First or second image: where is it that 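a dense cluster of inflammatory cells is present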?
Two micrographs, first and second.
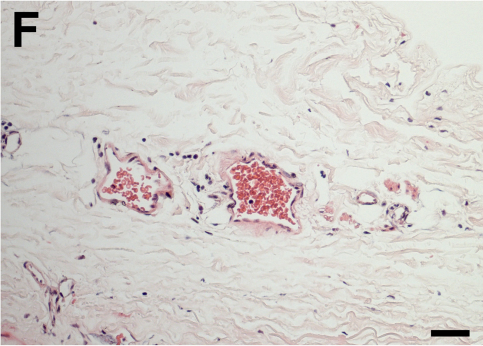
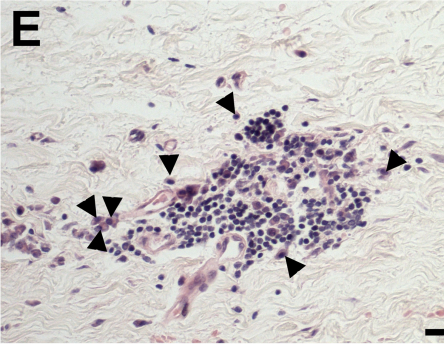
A: The second image.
